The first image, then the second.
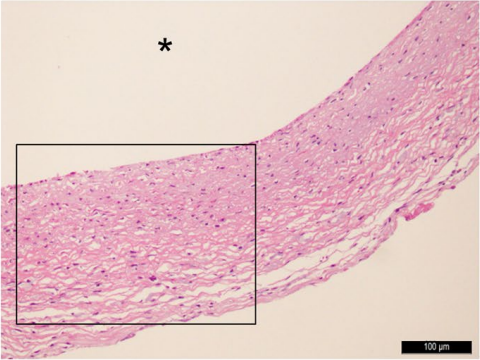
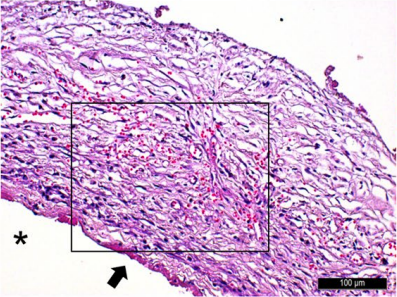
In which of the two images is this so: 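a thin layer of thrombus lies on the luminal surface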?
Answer: The second image.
